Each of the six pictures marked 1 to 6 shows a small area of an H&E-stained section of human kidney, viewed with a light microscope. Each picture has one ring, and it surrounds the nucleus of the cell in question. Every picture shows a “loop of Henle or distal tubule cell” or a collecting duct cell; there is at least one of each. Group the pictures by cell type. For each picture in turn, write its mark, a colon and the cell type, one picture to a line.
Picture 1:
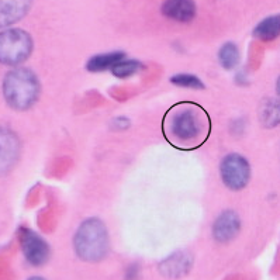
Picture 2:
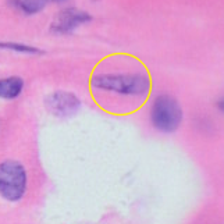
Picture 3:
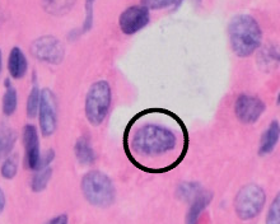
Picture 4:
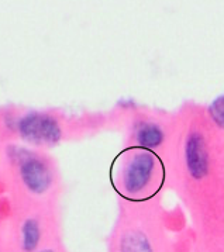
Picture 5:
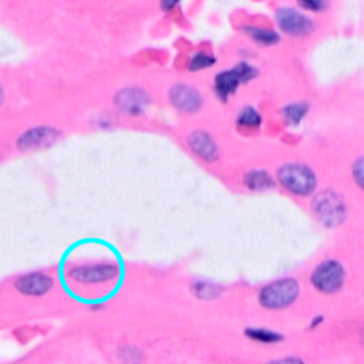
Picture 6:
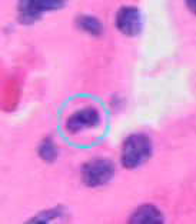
1: loop of Henle or distal tubule cell
2: collecting duct cell
3: loop of Henle or distal tubule cell
4: collecting duct cell
5: loop of Henle or distal tubule cell
6: loop of Henle or distal tubule cell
